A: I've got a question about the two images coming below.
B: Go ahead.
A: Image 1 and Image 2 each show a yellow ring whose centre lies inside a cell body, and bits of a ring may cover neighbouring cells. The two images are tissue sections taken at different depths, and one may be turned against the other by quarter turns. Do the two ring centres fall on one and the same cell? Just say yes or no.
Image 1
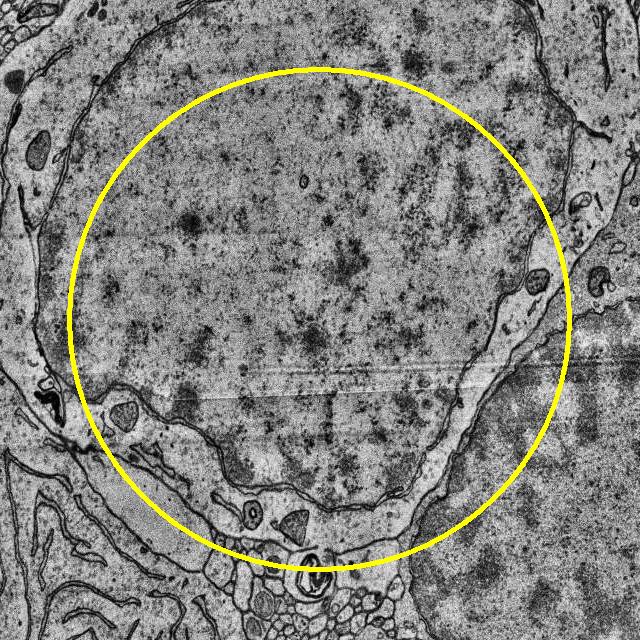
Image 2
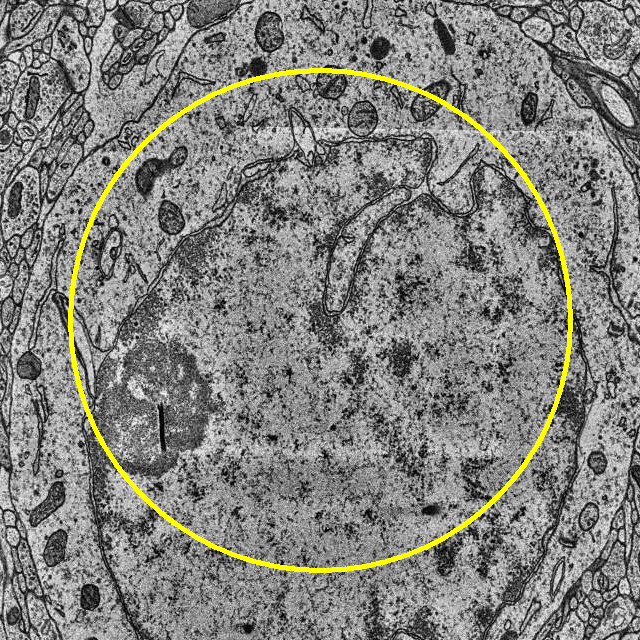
no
